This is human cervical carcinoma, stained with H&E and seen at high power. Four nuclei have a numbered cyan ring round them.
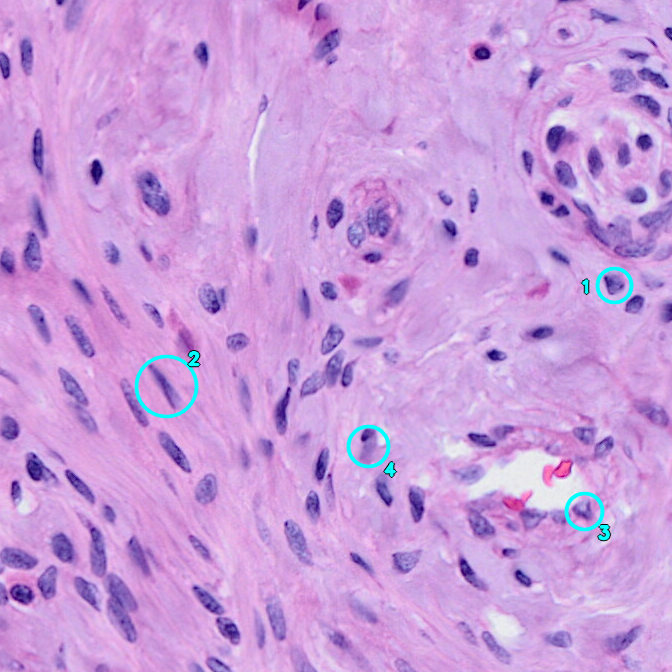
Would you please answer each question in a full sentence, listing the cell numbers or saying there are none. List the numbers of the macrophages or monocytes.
Among the numbered cells, there are no macrophages or monocytes.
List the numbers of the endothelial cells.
Just one numbered cell is an endothelial cell, and that cell is number 3.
